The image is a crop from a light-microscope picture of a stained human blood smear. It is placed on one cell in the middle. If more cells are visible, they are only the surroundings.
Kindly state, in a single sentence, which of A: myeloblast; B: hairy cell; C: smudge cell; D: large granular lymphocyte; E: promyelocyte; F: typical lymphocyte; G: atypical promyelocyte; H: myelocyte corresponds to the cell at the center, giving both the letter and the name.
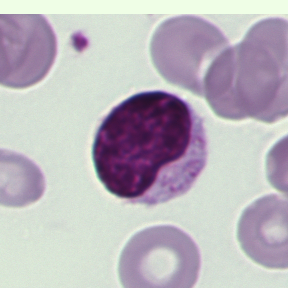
The one to choose is option D, as the cell in the middle is a large granular lymphocyte.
